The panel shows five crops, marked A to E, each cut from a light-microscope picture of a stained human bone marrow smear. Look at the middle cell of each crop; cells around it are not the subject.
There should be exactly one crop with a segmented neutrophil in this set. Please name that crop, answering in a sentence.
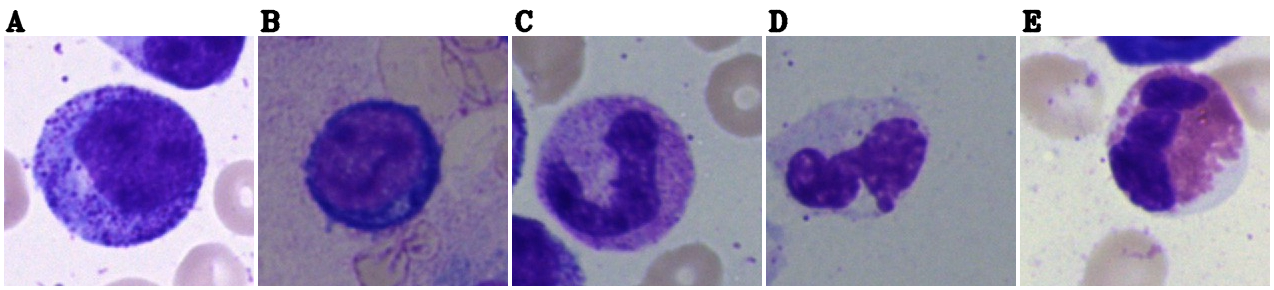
Of the cells presented, the one in crop D is a segmented neutrophil.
